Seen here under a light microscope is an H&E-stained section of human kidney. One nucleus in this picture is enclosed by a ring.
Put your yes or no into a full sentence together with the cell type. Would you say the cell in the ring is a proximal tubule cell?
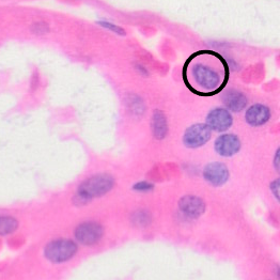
No, the cell in the ring counts as a collecting duct cell rather than as a proximal tubule cell.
